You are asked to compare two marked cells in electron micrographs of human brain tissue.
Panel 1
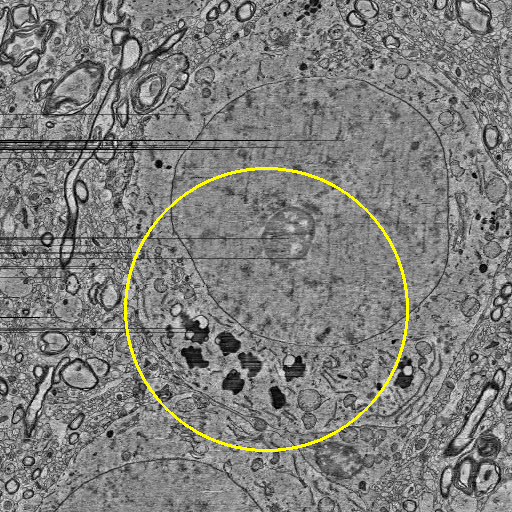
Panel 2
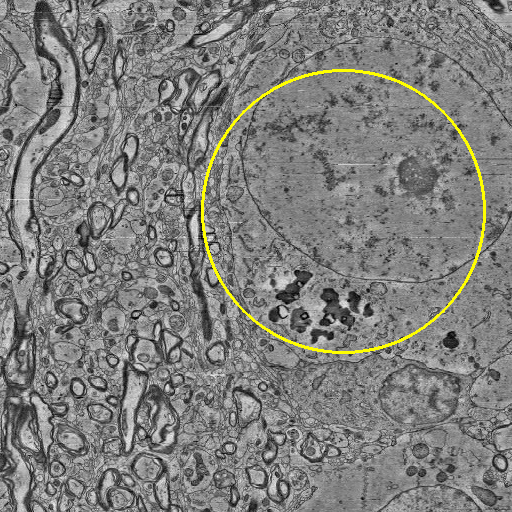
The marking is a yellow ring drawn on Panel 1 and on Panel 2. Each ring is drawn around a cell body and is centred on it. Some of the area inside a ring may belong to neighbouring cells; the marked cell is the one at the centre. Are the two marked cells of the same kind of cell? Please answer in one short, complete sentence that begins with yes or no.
Yes, the two marked cells are of the same kind.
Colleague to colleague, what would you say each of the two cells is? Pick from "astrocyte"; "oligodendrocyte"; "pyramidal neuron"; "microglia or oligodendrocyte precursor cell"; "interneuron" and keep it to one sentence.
Both the first and the second picture show a pyramidal neuron in the ring.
